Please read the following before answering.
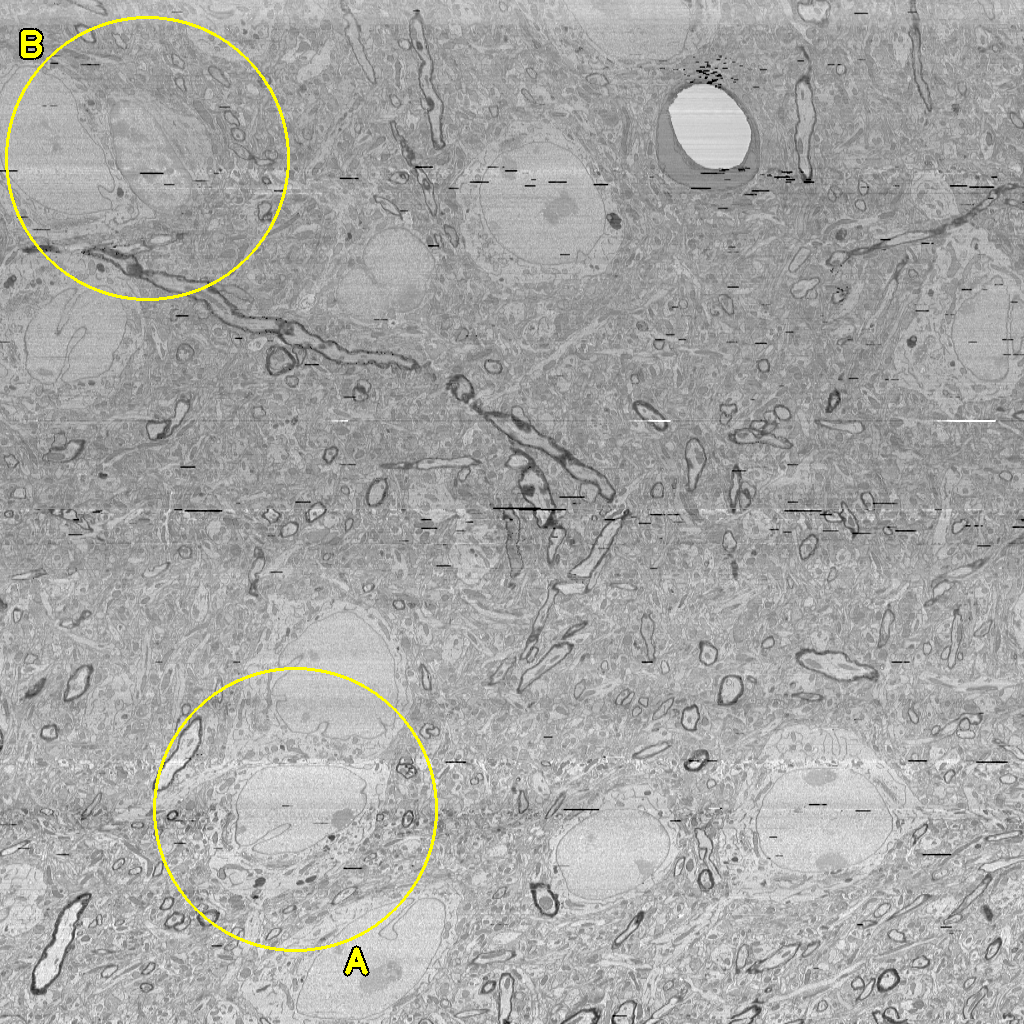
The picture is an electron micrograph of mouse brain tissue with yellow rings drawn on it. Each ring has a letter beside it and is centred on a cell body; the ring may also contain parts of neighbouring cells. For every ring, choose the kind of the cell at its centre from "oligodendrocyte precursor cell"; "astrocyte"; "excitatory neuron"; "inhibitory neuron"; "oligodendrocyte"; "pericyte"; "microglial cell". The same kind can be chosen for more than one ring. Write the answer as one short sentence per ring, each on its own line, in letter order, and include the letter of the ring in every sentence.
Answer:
The kind of cell at the centre of ring A is an excitatory neuron.
The kind of cell at the centre of ring B is an oligodendrocyte.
